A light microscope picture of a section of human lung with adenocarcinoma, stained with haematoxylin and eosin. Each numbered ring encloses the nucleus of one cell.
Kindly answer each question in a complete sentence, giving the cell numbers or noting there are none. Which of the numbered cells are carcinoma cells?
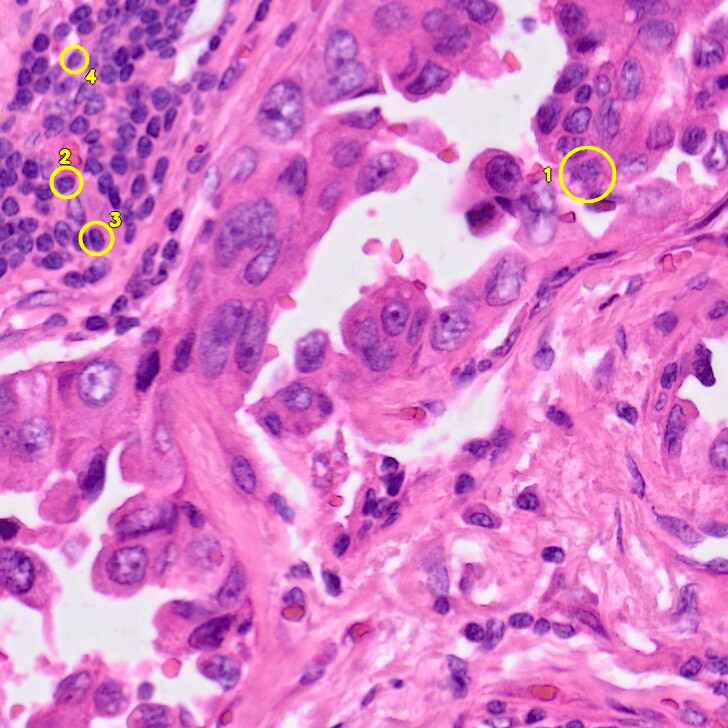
Only at number 1 is there a carcinoma cell.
